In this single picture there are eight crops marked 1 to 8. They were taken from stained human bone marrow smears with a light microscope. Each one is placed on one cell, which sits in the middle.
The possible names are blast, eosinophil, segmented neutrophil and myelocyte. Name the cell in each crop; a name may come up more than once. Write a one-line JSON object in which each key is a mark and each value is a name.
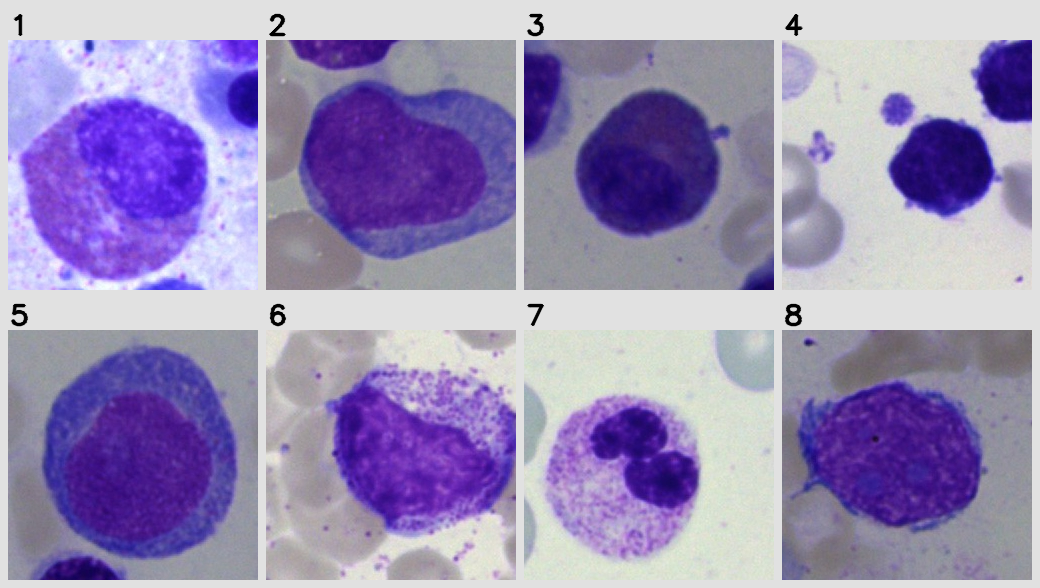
{"1": "eosinophil", "2": "blast", "3": "eosinophil", "4": "blast", "5": "blast", "6": "myelocyte", "7": "segmented neutrophil", "8": "blast"}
